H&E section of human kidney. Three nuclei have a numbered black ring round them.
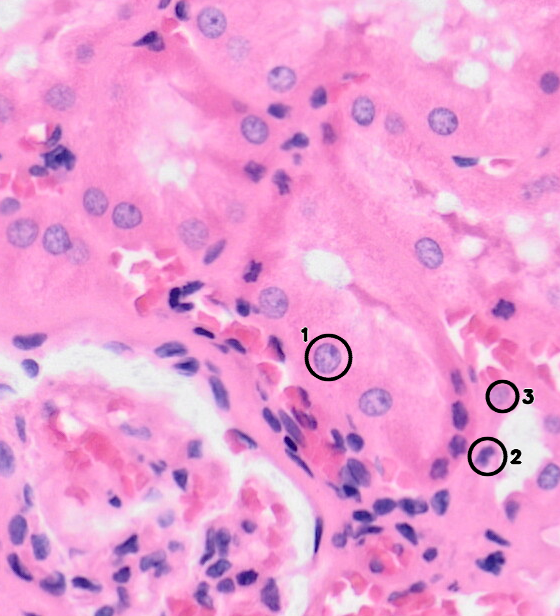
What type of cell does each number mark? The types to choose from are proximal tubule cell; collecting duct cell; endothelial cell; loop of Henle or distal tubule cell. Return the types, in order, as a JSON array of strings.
["proximal tubule cell", "loop of Henle or distal tubule cell", "loop of Henle or distal tubule cell"]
